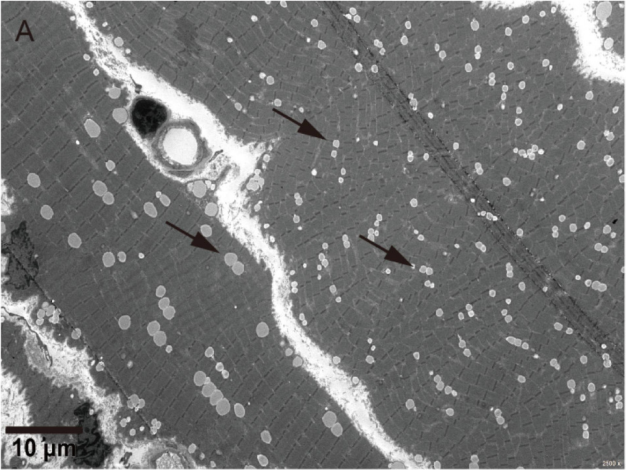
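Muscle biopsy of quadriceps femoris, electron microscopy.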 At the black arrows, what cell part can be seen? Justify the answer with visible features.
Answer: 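Lipid deposits. Many round, pale, homogeneous droplets lie within the fibers. The droplets sit in rows between the striated myofibrils. They have no internal membranes or cristae.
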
